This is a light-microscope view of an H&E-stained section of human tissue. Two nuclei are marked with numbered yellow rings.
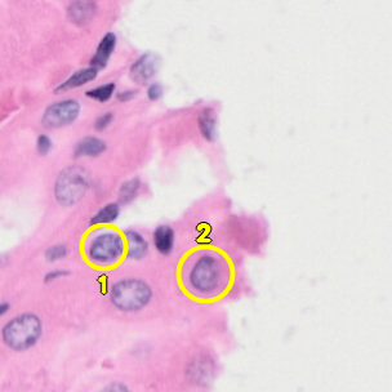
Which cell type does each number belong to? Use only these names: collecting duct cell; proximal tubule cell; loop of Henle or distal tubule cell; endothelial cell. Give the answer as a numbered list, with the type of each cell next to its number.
1. loop of Henle or distal tubule cell
2. proximal tubule cell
